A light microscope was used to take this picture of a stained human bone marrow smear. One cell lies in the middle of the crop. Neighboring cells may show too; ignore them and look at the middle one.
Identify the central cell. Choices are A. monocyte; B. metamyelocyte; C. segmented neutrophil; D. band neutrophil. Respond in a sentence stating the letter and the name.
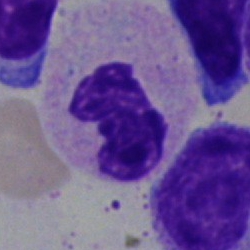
The central cell in this crop is a band neutrophil, corresponding to option D, the correct option.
